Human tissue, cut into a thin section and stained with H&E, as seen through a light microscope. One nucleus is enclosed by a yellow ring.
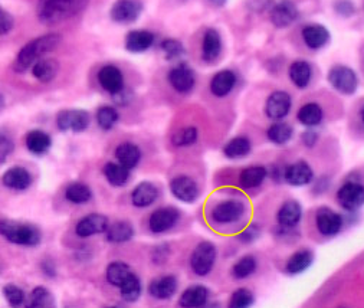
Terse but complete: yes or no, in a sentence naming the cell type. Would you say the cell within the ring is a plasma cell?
Yes, by cell type, the cell within the ring is a plasma cell.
